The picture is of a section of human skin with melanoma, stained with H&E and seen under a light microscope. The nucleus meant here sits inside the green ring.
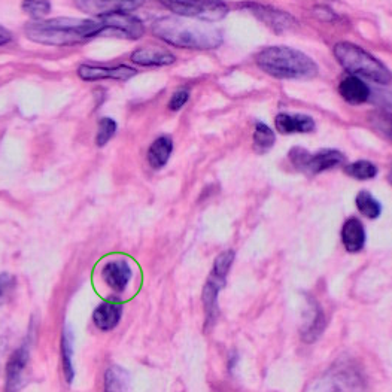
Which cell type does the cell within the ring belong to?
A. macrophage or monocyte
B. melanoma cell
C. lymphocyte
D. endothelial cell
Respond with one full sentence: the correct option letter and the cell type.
As the cell within the ring is a lymphocyte, the correct choice is option C.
